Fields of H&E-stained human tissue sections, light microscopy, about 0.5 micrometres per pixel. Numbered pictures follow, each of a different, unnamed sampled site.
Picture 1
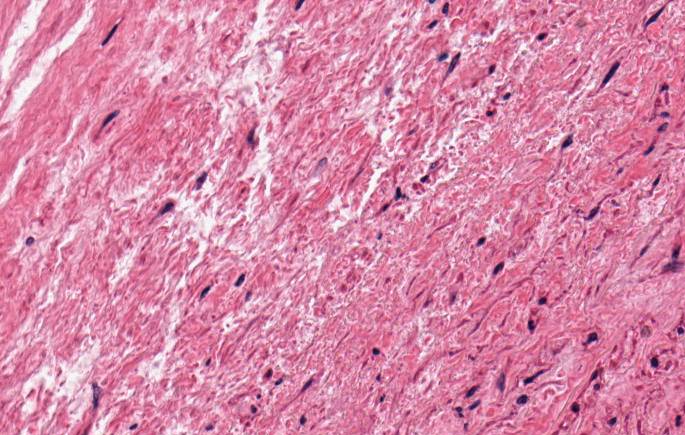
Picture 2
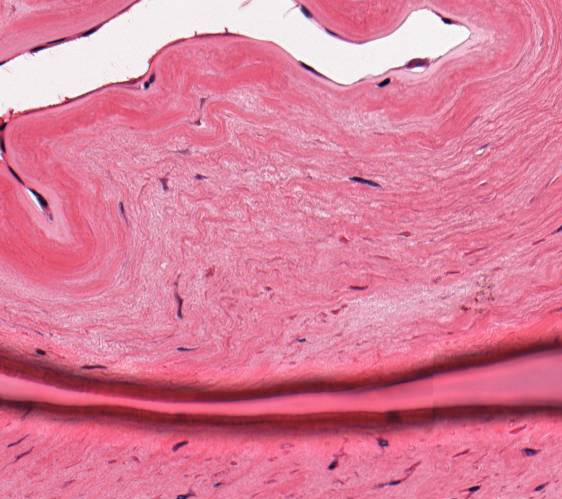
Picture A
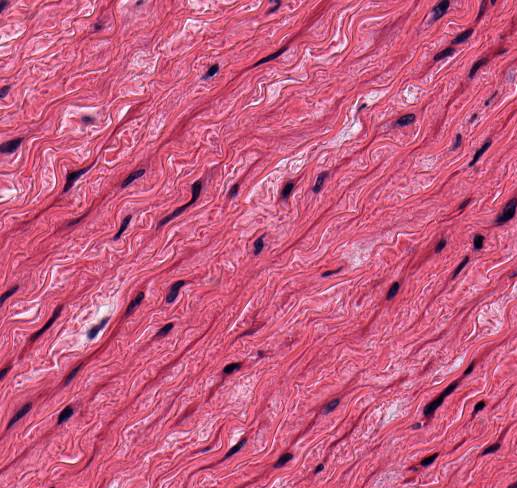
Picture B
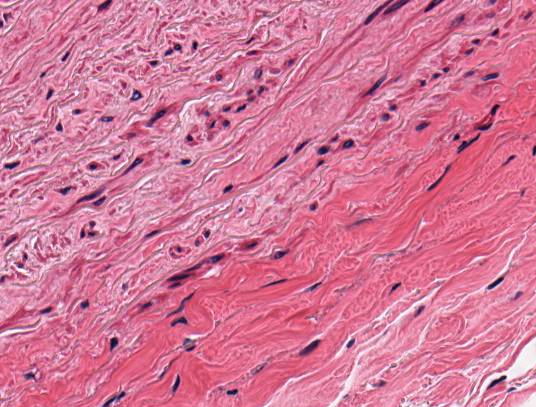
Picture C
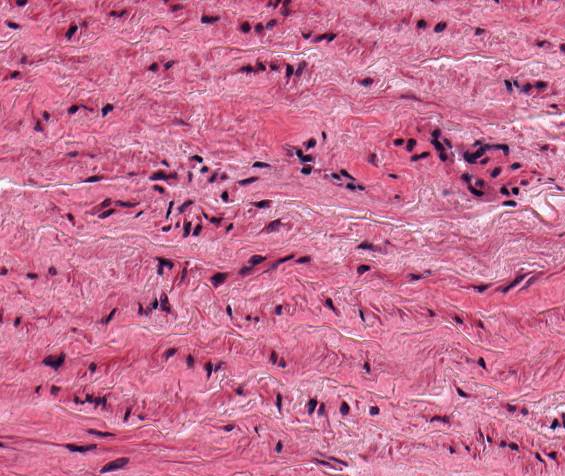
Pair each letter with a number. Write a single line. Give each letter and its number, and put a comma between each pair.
A 1, B 1, C 1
